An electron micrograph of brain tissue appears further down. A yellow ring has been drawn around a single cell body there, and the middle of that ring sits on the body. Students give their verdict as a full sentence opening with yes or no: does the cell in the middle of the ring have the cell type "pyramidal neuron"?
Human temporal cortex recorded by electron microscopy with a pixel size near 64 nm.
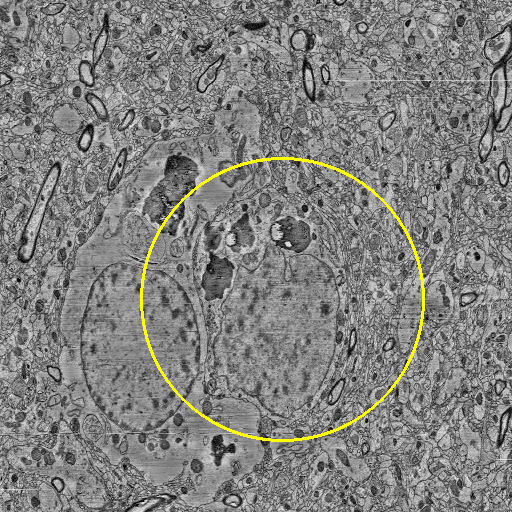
No, in this picture the cell sitting at the middle of the ring has a different cell type.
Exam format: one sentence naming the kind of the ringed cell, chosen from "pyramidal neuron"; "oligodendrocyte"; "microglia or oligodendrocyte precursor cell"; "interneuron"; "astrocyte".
The cell shown in the ring is an interneuron.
